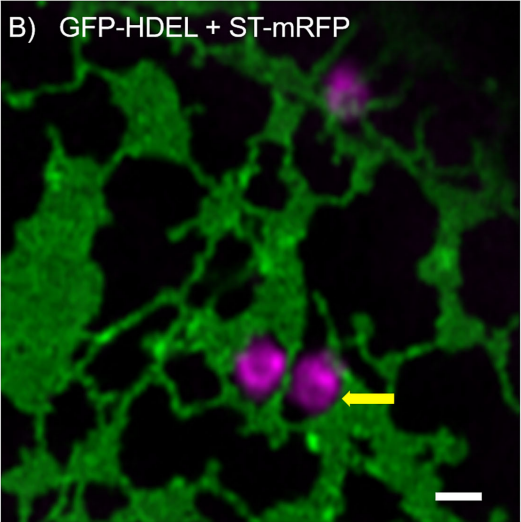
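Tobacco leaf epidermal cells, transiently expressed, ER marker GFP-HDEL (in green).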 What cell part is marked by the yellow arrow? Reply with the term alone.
Golgi bodies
